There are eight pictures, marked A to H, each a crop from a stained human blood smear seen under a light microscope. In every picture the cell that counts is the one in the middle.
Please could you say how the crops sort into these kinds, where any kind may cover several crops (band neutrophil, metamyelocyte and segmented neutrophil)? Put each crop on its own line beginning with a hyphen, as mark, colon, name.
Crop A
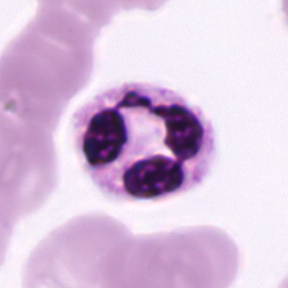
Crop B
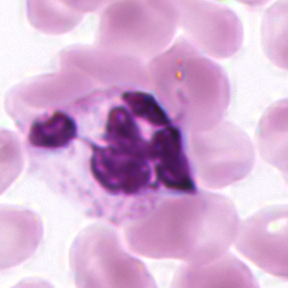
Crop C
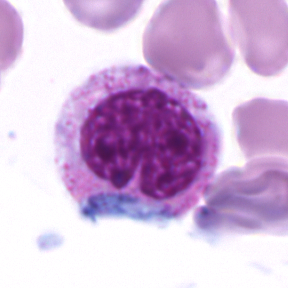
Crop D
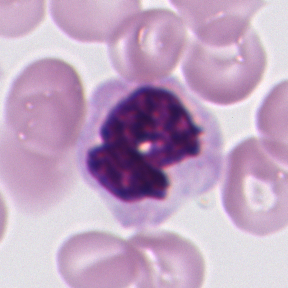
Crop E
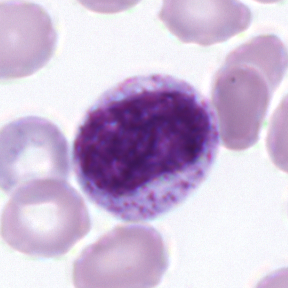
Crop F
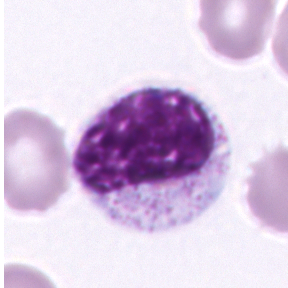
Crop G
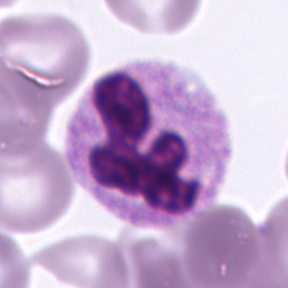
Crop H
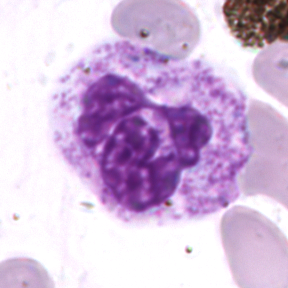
- A: segmented neutrophil
- B: segmented neutrophil
- C: band neutrophil
- D: segmented neutrophil
- E: metamyelocyte
- F: metamyelocyte
- G: segmented neutrophil
- H: segmented neutrophil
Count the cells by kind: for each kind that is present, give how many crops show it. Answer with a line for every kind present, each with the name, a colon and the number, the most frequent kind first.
segmented neutrophil: 5
metamyelocyte: 2
band neutrophil: 1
